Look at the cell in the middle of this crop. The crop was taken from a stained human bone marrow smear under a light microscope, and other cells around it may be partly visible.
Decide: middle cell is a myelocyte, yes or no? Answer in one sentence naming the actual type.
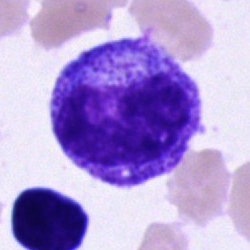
No, the cell in the middle of the crop counts as a promyelocyte and not as a myelocyte.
